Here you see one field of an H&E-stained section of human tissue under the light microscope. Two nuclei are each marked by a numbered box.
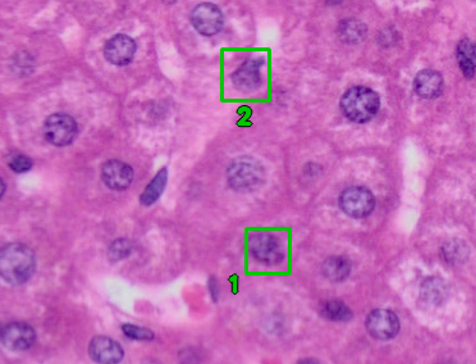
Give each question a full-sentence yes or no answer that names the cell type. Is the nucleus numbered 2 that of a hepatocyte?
No, cell 2 is not a hepatocyte. It is an endothelial cell.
